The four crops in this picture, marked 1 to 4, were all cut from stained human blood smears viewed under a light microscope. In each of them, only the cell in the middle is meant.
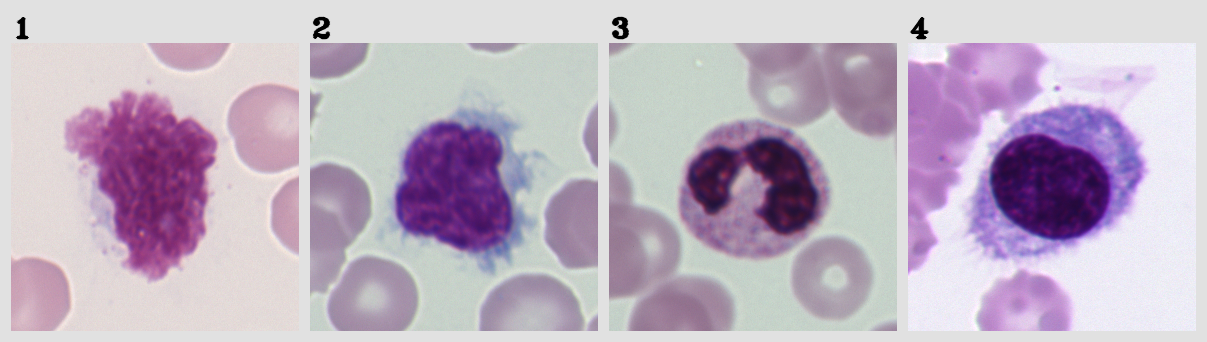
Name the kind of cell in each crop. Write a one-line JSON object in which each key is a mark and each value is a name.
{"1": "smudge cell", "2": "hairy cell", "3": "segmented neutrophil", "4": "hairy cell"}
